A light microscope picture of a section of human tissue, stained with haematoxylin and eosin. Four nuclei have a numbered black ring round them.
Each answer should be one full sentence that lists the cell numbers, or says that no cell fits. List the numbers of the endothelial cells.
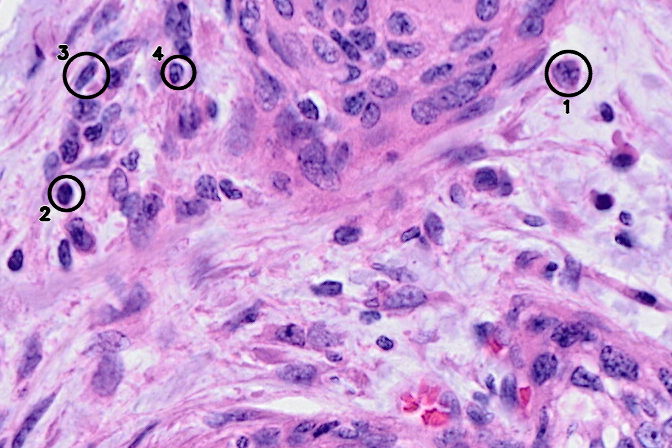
From first to last, the numbered cells include no endothelial cells.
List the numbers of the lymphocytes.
The cells referred to by the numbers 2, 3 and 4 are lymphocytes.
